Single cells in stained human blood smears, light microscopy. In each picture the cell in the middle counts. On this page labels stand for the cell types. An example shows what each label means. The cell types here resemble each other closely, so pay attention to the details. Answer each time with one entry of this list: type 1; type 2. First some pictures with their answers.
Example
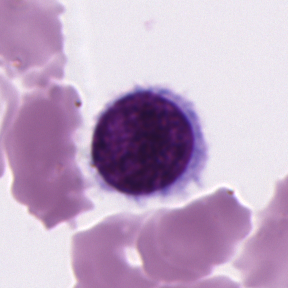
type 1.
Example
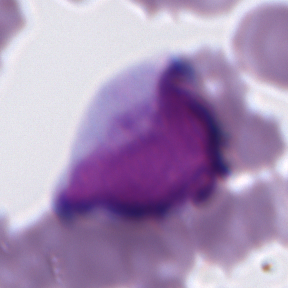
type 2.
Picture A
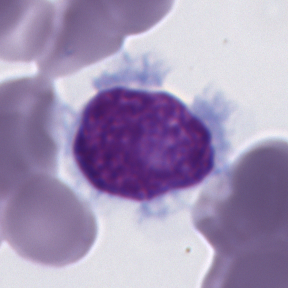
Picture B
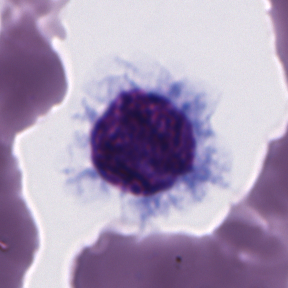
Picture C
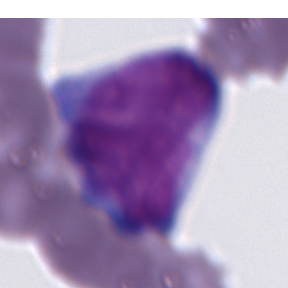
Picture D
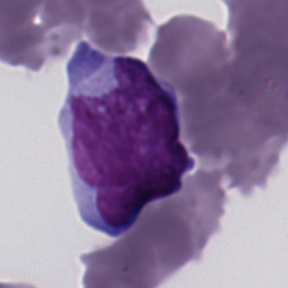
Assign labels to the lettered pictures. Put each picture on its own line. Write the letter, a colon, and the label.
A: type 1.
B: type 1.
C: type 2.
D: type 2.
